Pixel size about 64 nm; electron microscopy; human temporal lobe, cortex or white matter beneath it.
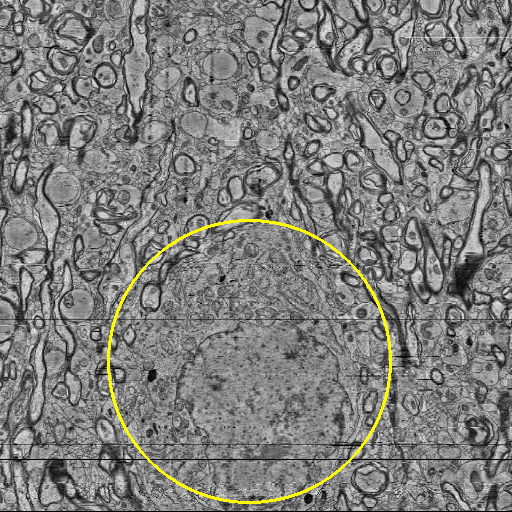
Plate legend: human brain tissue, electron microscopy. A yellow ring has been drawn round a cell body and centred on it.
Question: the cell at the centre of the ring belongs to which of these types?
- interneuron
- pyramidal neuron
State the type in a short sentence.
The cell in the middle of the ring is an interneuron.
